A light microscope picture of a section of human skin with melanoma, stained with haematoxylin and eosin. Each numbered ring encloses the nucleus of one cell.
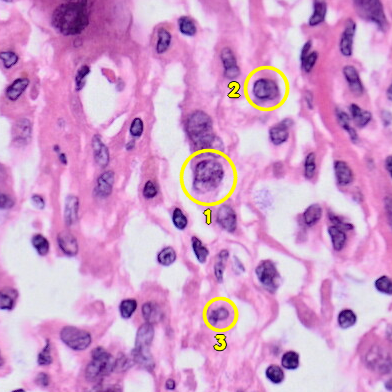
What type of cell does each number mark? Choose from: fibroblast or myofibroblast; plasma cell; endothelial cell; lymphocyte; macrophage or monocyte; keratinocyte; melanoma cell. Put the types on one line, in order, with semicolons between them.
melanoma cell; macrophage or monocyte; macrophage or monocyte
